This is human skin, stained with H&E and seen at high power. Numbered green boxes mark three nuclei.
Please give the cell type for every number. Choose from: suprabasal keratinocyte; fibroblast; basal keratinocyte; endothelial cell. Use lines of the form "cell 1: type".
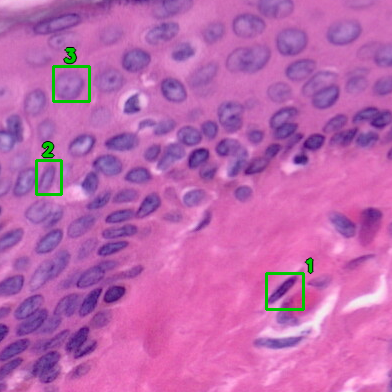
cell 1: fibroblast
cell 2: suprabasal keratinocyte
cell 3: suprabasal keratinocyte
